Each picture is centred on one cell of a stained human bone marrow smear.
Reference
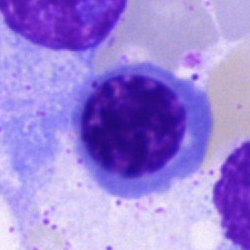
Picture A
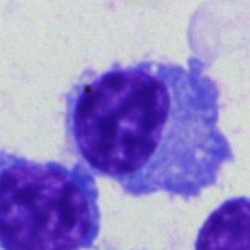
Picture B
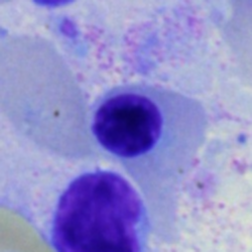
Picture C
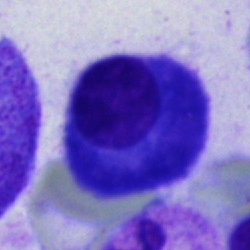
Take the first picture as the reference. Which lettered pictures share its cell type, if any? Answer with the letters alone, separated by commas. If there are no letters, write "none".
B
